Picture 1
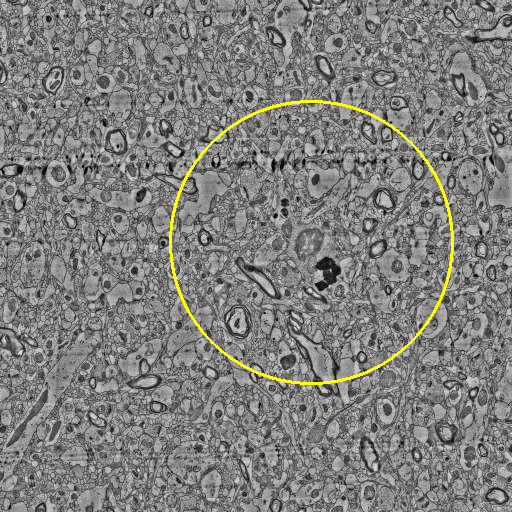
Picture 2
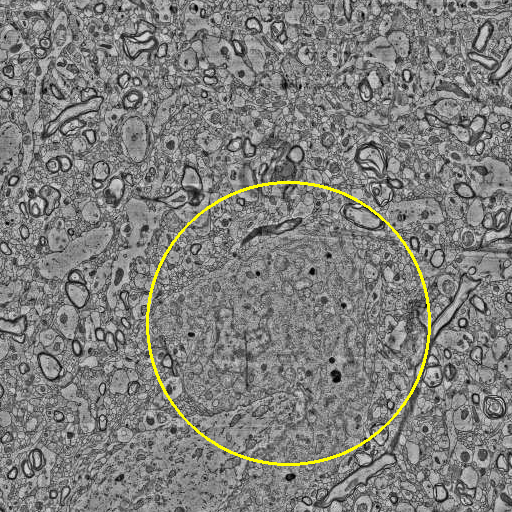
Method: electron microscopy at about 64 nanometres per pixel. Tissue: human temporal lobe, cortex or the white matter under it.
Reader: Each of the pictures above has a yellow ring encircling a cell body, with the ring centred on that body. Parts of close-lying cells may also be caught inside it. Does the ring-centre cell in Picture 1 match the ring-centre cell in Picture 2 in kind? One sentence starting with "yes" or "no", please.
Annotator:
No, Picture 1 and Picture 2 show ring-centre cells of two kinds.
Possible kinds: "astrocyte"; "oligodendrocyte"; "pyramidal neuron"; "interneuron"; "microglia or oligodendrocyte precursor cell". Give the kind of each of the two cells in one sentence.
The cell in the second picture is an interneuron, and that in the first is an oligodendrocyte.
